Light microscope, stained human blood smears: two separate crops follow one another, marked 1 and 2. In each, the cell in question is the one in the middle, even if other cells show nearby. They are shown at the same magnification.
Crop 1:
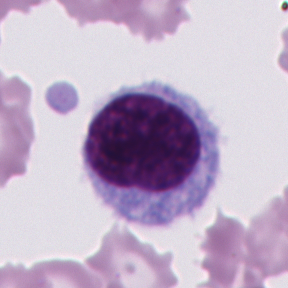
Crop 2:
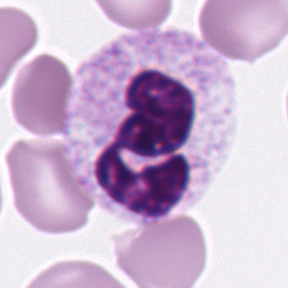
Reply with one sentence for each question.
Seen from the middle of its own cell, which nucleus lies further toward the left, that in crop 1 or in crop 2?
It is the nucleus in crop 1 that lies further toward the left of its cell.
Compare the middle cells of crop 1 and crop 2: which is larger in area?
It is the cell in crop 2, about 2 times as large in area as the cell in crop 1.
